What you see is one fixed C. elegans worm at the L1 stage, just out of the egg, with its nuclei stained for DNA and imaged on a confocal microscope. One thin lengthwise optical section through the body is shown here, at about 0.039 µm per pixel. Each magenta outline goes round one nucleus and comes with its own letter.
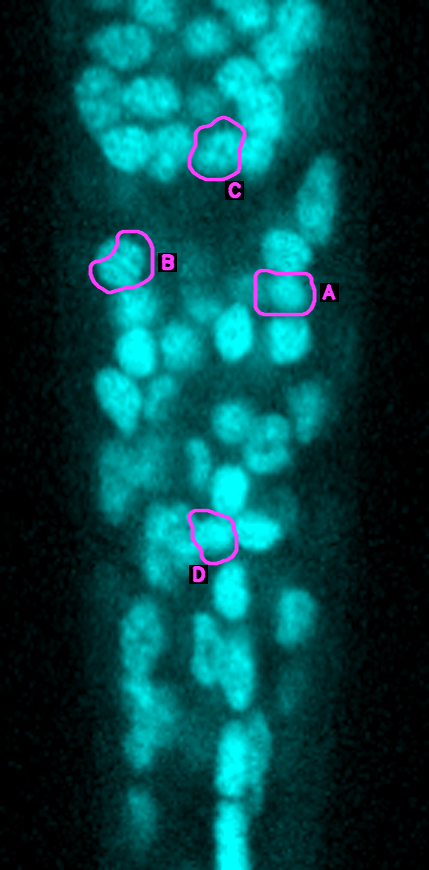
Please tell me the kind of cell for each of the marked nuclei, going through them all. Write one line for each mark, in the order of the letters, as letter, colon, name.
A: neuron
B: neuron
C: GLR cell
D: pharyngeal muscle cell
